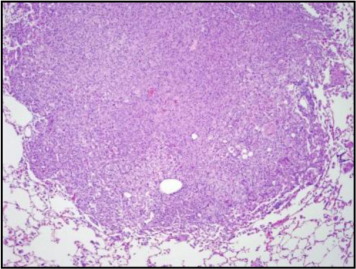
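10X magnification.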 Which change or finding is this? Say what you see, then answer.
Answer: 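Lung tumor. A large, dense, solid mass of closely packed cells fills most of the field. The mass has replaced the open alveolar spaces. Thin-walled alveolar lung tissue remains only at the edges.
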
